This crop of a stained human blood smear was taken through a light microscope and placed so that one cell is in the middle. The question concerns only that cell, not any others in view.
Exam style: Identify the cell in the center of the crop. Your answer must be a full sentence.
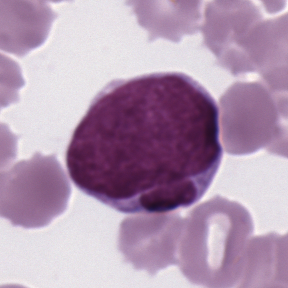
The middle position in this crop is taken by a blast.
